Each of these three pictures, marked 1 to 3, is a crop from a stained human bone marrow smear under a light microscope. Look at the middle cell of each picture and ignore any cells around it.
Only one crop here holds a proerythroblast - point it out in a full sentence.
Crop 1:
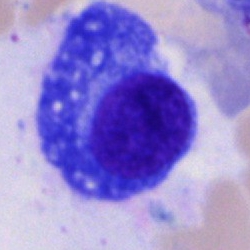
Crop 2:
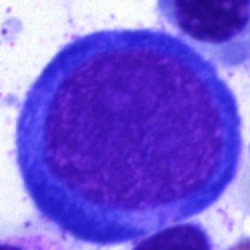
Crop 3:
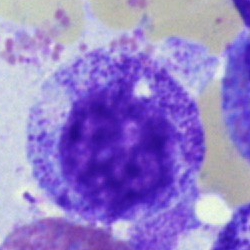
The requested cell, a proerythroblast, is the one in crop 2.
